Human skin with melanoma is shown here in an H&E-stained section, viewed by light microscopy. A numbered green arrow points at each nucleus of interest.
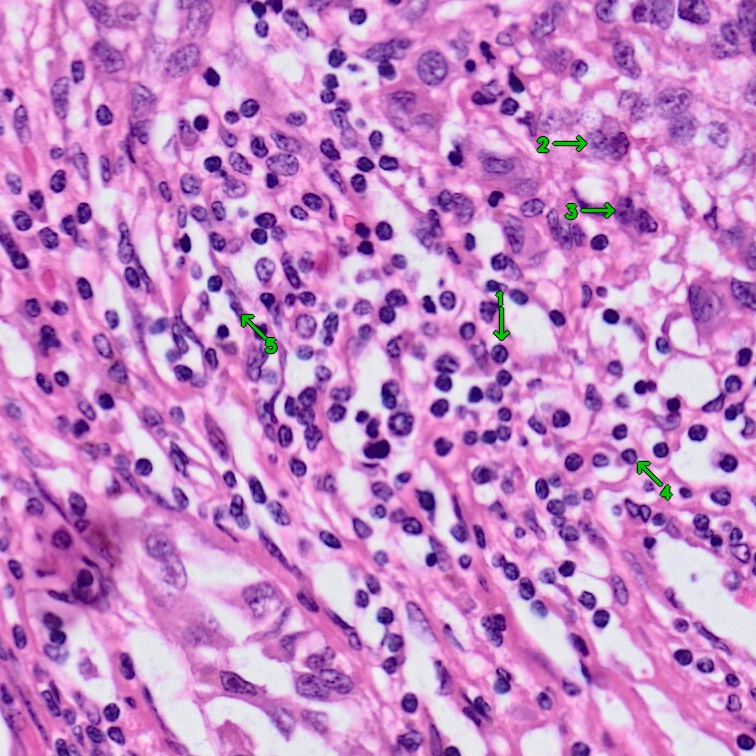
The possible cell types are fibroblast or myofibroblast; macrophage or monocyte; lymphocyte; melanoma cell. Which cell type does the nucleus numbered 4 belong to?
lymphocyte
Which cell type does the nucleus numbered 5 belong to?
fibroblast or myofibroblast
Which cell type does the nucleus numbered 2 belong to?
melanoma cell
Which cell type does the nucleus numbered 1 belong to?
lymphocyte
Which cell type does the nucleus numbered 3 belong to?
melanoma cell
